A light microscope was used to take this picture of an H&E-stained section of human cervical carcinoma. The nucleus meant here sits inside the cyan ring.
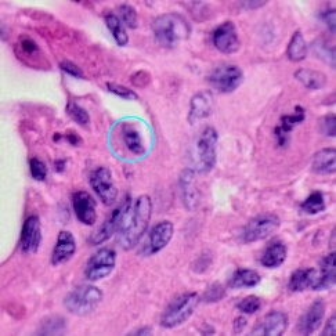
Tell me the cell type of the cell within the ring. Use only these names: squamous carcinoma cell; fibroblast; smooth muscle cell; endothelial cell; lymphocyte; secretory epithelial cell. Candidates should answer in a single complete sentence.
Considered by cell type, the cell within the ring is a squamous carcinoma cell.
